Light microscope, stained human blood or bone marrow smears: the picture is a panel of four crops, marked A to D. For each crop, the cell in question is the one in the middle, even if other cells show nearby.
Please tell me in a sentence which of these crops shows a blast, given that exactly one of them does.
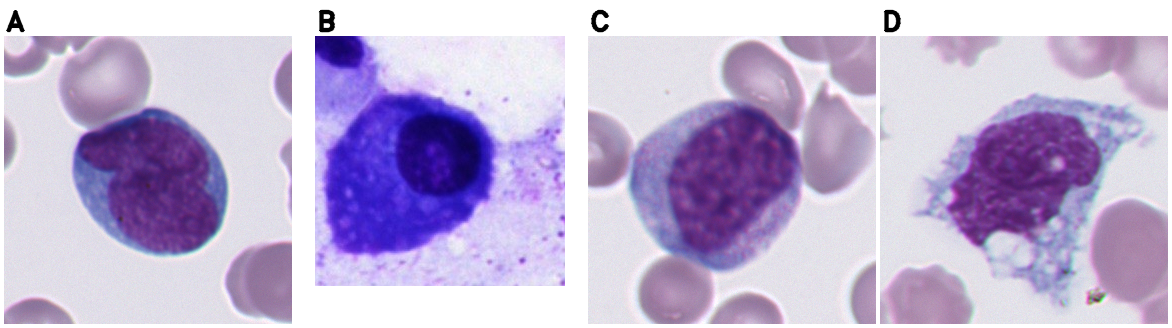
Crop A is the correct crop, and it shows a blast.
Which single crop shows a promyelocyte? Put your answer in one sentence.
The crop with a promyelocyte in it is crop C.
